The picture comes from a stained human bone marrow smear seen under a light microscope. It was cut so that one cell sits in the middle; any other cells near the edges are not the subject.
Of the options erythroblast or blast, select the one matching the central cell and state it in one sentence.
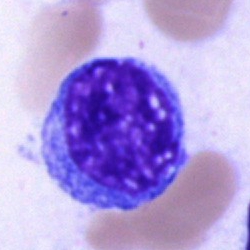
The middle cell in this particular crop is a blast.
